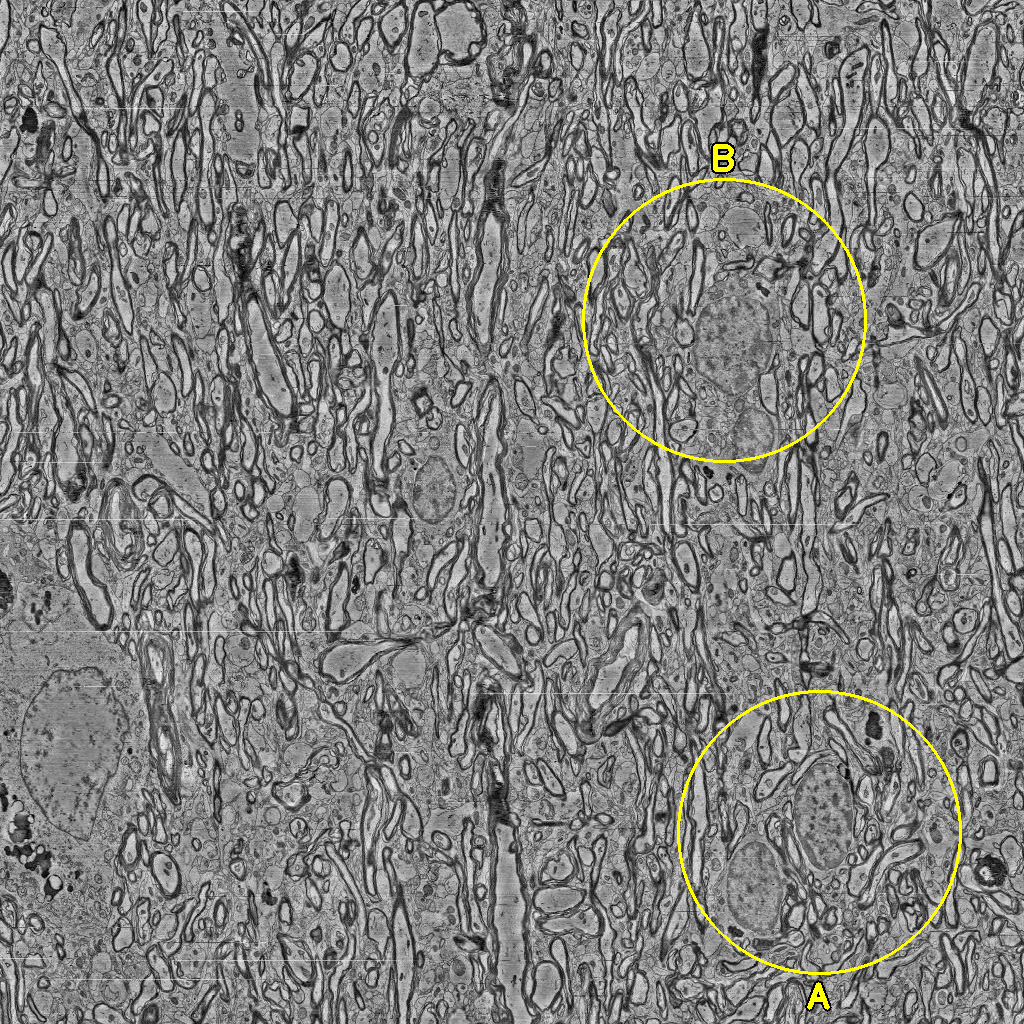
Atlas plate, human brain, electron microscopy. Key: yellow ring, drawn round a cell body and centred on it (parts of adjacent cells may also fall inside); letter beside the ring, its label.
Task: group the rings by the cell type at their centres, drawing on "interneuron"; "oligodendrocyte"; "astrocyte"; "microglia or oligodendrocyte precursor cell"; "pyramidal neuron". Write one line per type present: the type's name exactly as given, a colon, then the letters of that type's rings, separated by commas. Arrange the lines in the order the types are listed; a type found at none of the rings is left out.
oligodendrocyte: B
microglia or oligodendrocyte precursor cell: A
